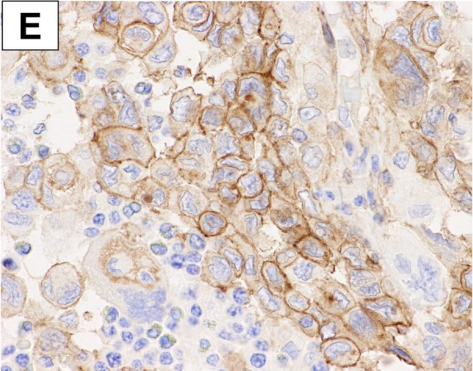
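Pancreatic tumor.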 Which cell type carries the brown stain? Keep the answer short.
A: Anaplastic cancer cells.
